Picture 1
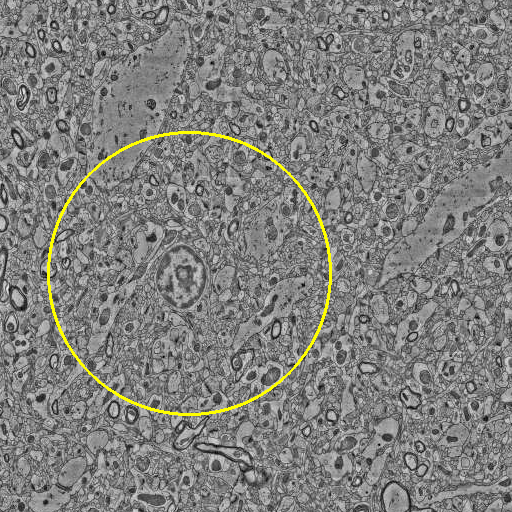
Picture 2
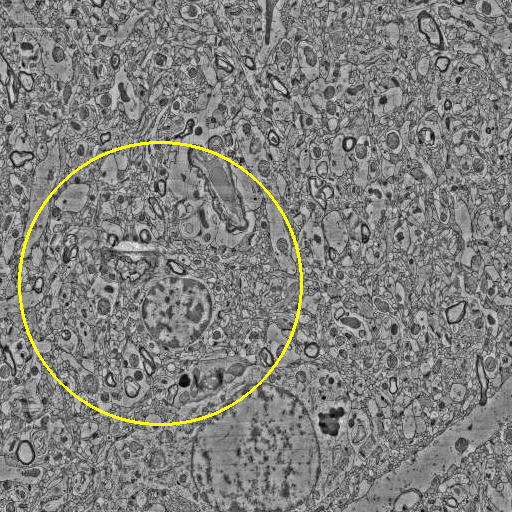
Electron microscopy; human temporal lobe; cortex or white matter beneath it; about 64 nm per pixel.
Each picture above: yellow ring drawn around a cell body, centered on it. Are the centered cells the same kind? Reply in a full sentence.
Yes, the two cells are the same kind.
